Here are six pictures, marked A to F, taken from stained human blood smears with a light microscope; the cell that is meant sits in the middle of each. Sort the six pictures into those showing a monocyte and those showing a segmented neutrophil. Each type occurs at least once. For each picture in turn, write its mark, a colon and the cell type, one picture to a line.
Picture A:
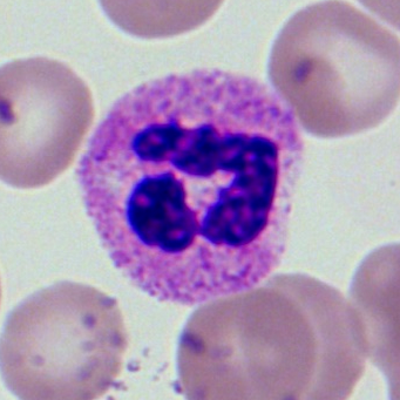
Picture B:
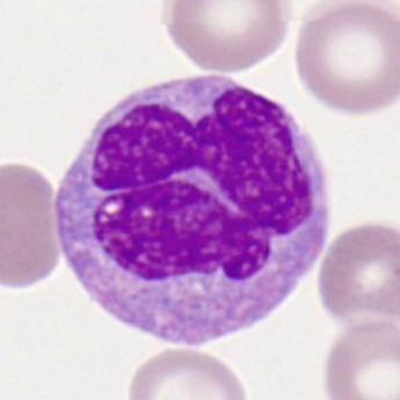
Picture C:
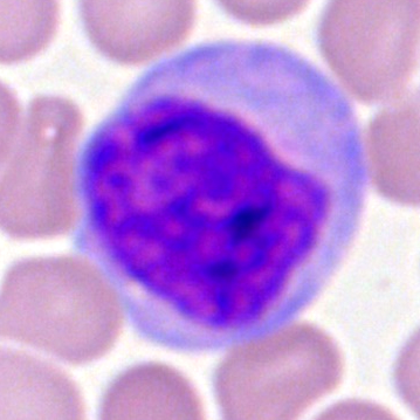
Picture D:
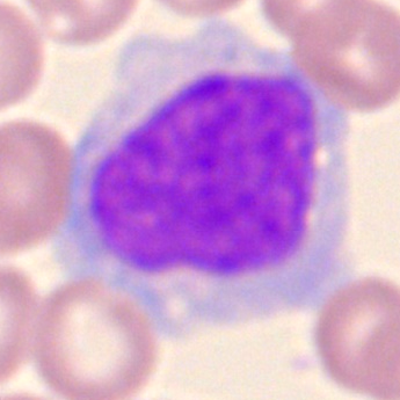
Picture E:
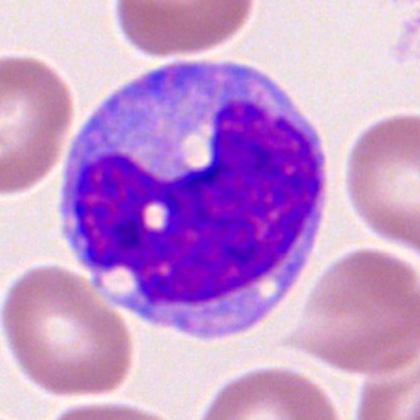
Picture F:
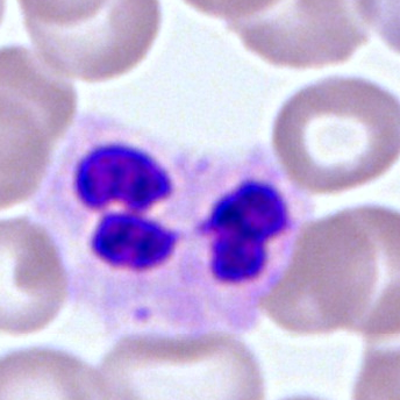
A: segmented neutrophil
B: monocyte
C: monocyte
D: monocyte
E: monocyte
F: segmented neutrophil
